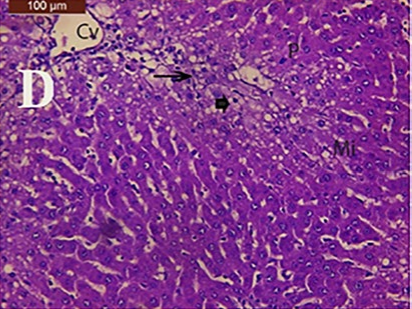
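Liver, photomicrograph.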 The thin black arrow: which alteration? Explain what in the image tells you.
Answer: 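Small dark nuclei gather at the mark between hepatocytes. The cluster lies close to the vein. On this evidence: inflammatory cells infiltration.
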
